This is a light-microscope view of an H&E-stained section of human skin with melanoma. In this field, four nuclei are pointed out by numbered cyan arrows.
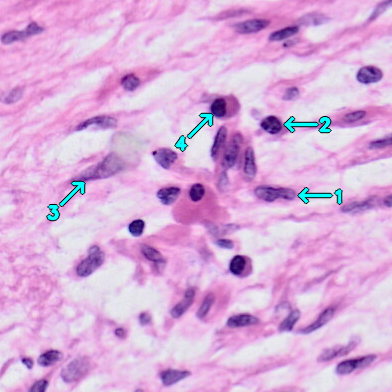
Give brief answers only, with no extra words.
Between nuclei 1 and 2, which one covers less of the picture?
2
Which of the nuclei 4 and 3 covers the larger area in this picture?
3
